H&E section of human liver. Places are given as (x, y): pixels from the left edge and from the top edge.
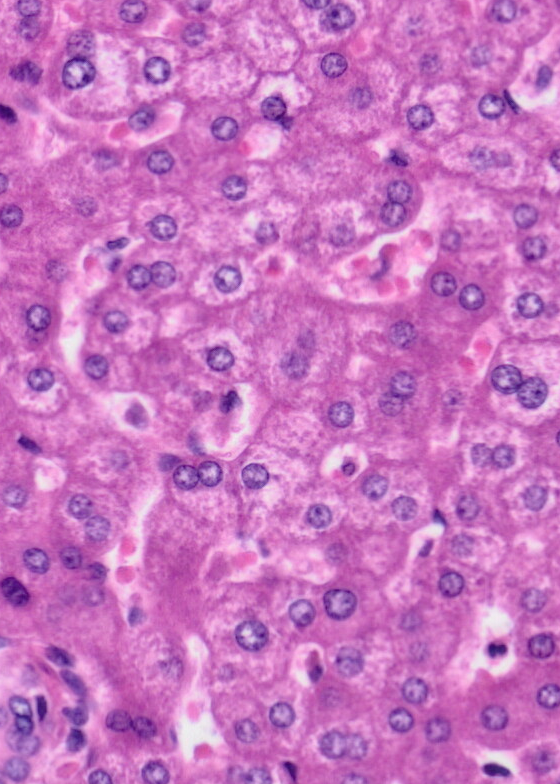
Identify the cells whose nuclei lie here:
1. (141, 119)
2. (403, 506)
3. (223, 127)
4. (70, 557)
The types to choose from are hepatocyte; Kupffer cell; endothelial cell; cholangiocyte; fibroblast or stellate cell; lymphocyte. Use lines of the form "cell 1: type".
cell 1: Kupffer cell
cell 2: hepatocyte
cell 3: hepatocyte
cell 4: hepatocyte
